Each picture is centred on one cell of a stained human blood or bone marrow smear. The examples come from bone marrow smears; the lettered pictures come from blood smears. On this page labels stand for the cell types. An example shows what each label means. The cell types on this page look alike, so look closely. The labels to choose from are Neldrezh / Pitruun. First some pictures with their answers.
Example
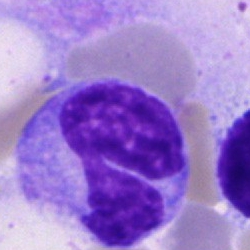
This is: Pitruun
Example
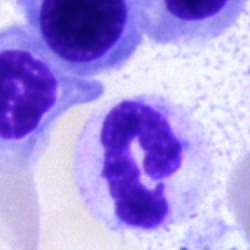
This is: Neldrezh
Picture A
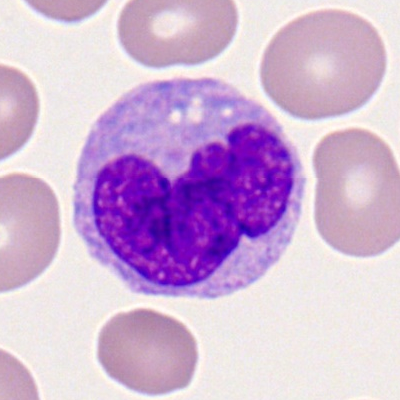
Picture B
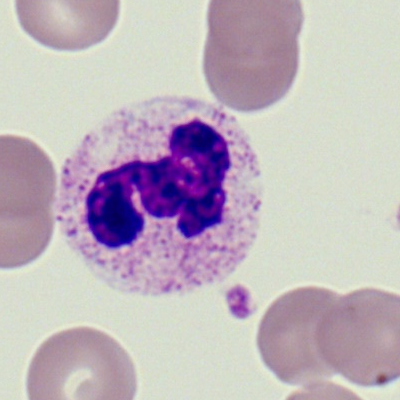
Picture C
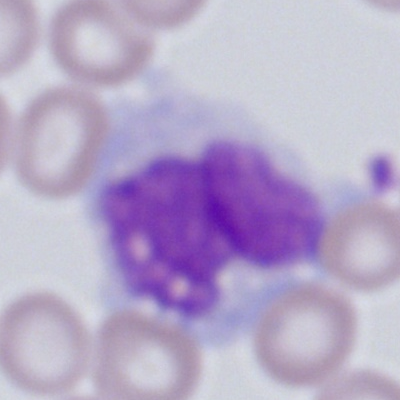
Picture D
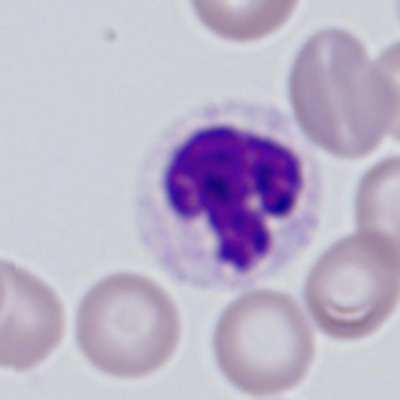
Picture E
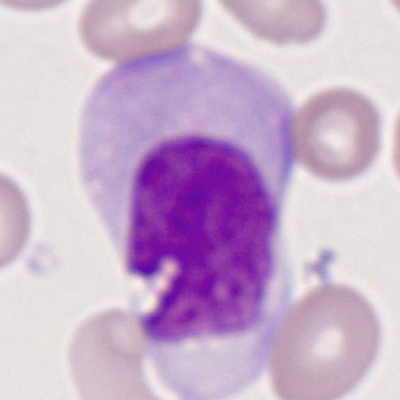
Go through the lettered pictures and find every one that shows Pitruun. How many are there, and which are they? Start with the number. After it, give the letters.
3, namely A, C, E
